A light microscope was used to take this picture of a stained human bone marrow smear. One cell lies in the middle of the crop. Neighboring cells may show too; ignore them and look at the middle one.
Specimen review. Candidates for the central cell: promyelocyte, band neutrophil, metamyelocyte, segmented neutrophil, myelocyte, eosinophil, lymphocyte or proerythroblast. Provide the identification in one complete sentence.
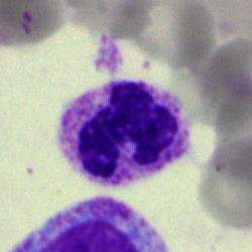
The cell of interest, located centrally, is a segmented neutrophil.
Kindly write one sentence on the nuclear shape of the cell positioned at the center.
The key feature is a nucleus with multiple lobes.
